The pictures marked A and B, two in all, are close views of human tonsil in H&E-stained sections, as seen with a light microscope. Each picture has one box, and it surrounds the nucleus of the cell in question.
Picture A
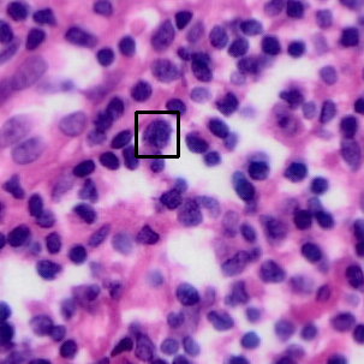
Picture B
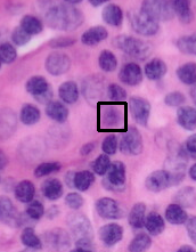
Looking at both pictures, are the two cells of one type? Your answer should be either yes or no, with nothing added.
no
